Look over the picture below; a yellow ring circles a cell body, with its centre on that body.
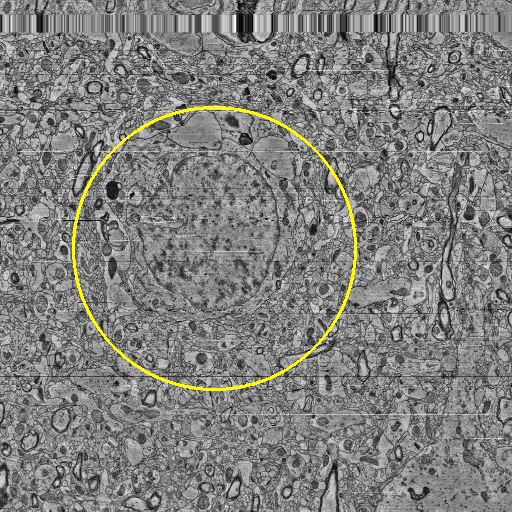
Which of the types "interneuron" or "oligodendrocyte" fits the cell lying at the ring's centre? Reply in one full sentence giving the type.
The picture shows an interneuron at the centre of the yellow ring.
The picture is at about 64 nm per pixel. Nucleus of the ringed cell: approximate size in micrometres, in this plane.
About 11 micrometres by about 9 micrometres in this plane.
